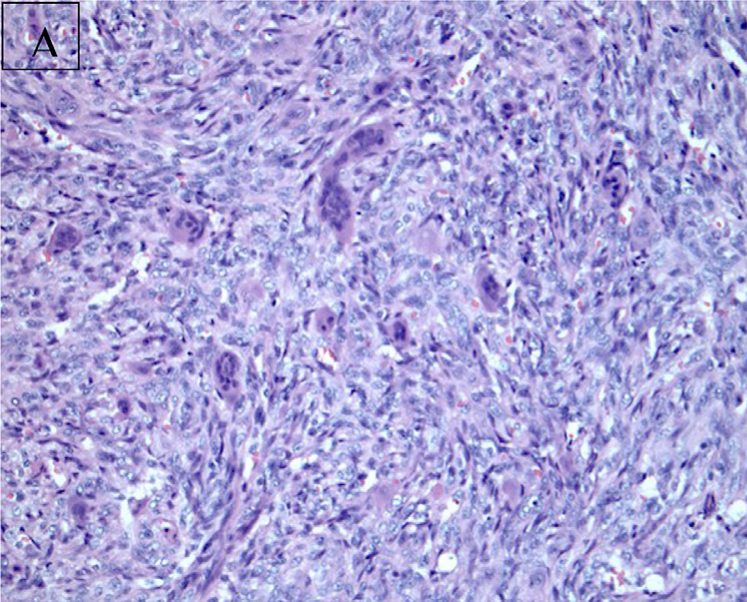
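This is a cellular tumor made of sheets of mononuclear cells with scattered giant cells among them. The mononuclear cells are spindle-shaped to oval, with pale oval nuclei and indistinct borders, and run in loose fascicles. Small thin-walled vessels with red blood cells are dotted through the tissue. There is little intervening stroma, so the field looks densely packed.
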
